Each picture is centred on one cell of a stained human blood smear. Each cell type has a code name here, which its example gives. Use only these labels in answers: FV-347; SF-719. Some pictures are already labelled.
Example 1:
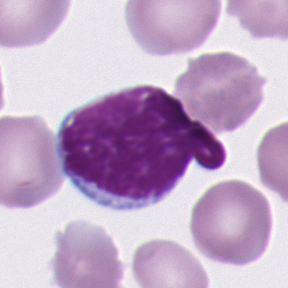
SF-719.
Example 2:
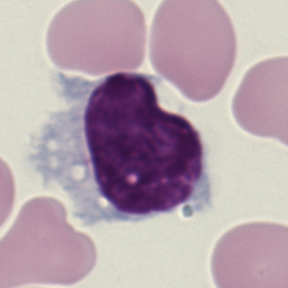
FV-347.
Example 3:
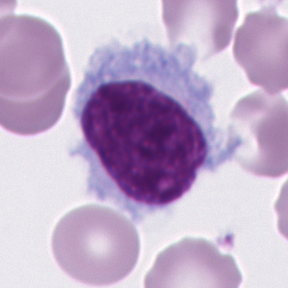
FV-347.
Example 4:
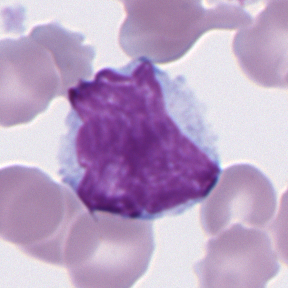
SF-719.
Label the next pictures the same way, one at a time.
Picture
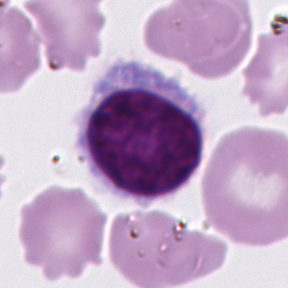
FV-347.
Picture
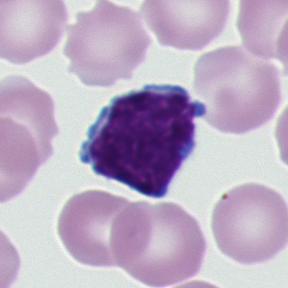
SF-719.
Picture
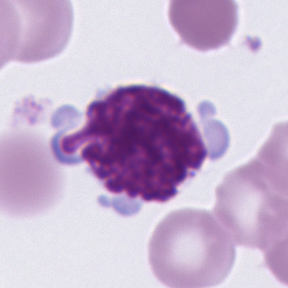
SF-719.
